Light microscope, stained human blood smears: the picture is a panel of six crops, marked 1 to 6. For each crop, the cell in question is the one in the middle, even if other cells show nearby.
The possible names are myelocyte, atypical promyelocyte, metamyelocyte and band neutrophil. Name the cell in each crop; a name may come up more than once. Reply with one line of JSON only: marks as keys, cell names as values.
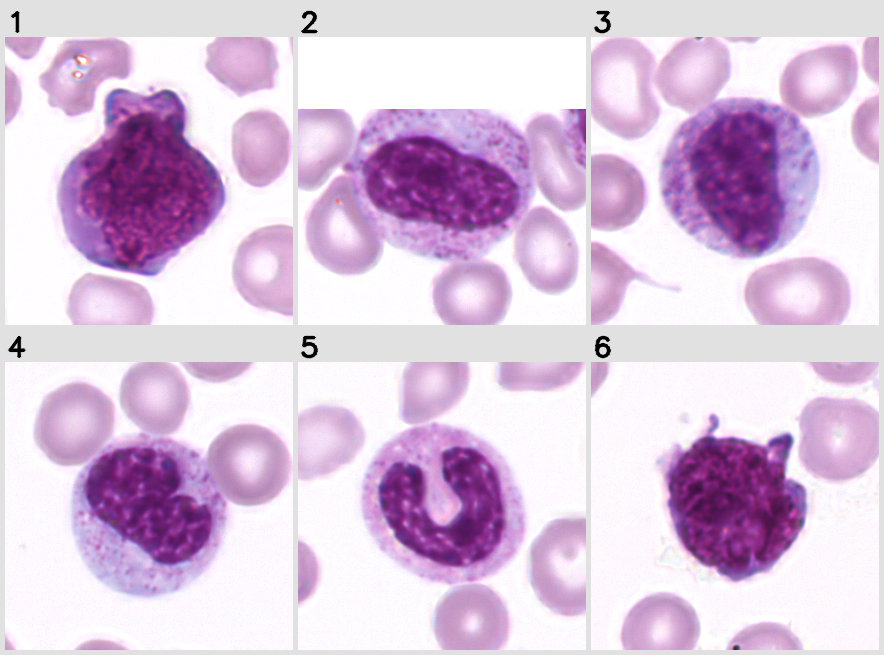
{"1": "atypical promyelocyte", "2": "metamyelocyte", "3": "metamyelocyte", "4": "band neutrophil", "5": "band neutrophil", "6": "atypical promyelocyte"}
